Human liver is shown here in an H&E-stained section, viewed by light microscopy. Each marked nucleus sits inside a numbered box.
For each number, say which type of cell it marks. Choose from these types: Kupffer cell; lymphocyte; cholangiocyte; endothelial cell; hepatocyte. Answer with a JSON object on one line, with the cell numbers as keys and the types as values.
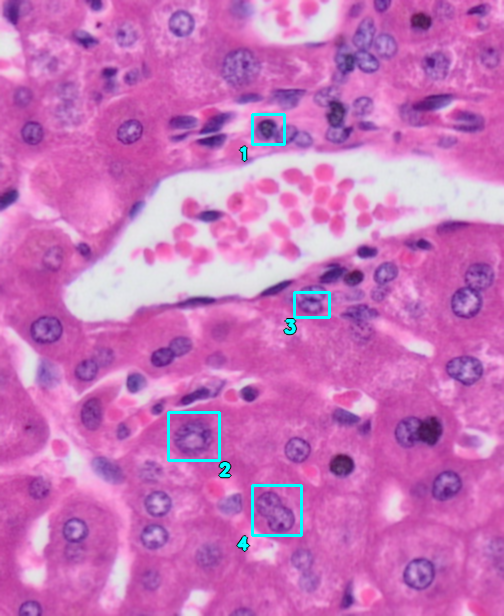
{"1": "cholangiocyte", "2": "hepatocyte", "3": "cholangiocyte", "4": "hepatocyte"}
